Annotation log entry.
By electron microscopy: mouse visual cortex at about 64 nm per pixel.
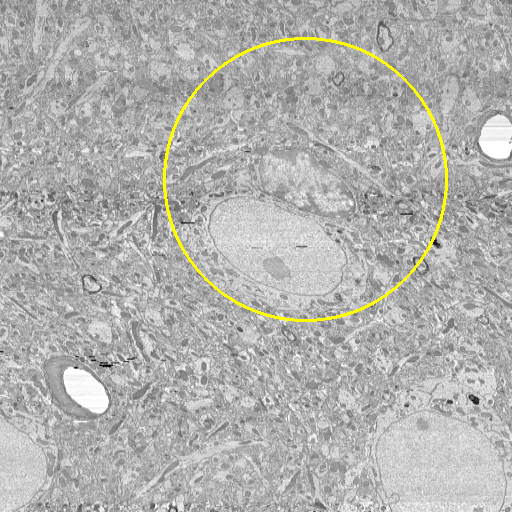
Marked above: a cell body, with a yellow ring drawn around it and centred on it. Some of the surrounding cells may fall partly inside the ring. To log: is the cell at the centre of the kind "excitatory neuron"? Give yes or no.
No, the cell at the centre is of another kind.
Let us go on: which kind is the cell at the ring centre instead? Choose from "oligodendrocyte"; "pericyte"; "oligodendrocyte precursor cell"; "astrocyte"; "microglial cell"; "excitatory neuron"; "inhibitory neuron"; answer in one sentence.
What the ring is centred on is an oligodendrocyte.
